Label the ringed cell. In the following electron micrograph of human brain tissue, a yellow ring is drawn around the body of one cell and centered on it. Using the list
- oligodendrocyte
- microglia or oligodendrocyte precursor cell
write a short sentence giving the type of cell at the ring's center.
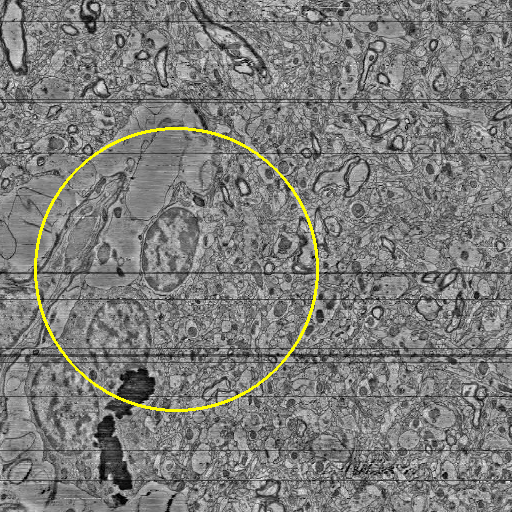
The cell body at the ring's center is that of a microglial cell or oligodendrocyte precursor cell.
